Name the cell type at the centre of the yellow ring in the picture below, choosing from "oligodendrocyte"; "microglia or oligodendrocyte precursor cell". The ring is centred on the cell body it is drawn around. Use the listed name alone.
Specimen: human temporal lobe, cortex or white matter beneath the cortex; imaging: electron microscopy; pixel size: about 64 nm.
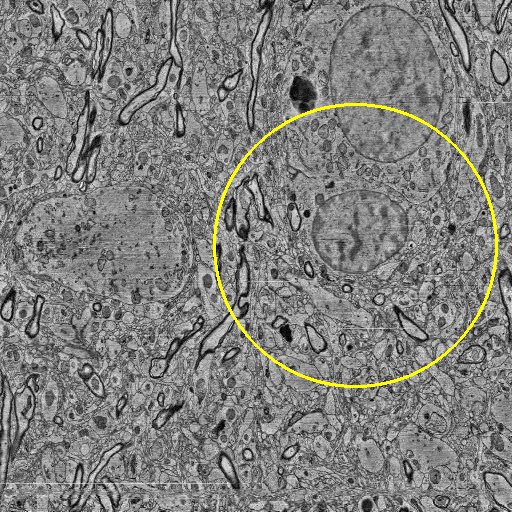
oligodendrocyte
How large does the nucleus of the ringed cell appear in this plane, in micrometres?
About 6 micrometres across in this plane.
